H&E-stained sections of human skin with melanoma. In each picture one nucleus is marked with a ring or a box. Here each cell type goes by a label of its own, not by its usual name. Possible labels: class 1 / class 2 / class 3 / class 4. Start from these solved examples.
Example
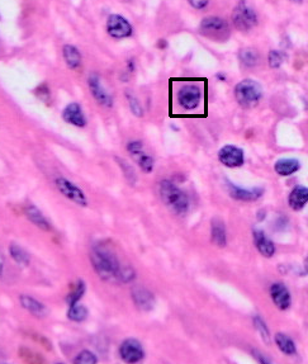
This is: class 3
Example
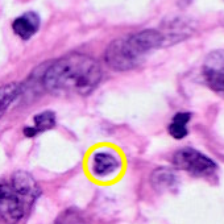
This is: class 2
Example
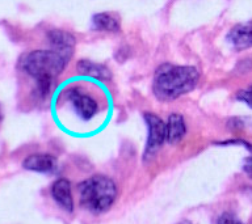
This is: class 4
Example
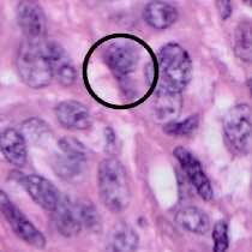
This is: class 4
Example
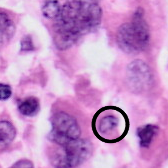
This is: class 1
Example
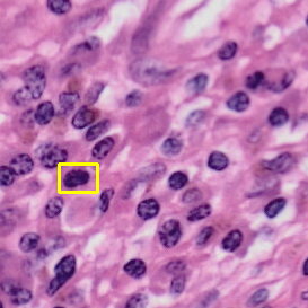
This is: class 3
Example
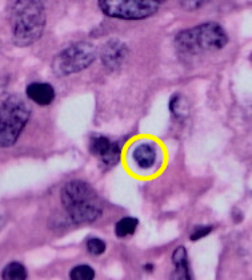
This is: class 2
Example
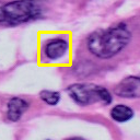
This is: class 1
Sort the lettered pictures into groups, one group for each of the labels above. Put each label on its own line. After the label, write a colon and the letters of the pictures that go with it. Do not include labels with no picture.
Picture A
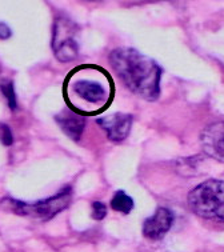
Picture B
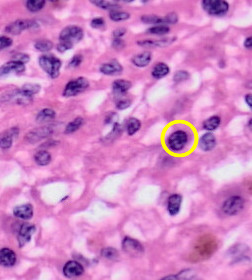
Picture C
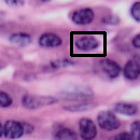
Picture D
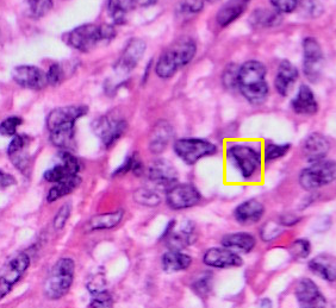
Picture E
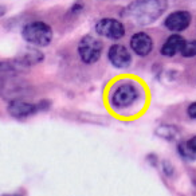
class 2: A
class 3: B, C, E
class 4: D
